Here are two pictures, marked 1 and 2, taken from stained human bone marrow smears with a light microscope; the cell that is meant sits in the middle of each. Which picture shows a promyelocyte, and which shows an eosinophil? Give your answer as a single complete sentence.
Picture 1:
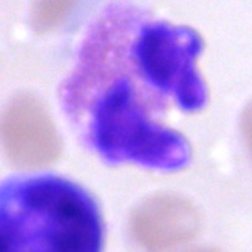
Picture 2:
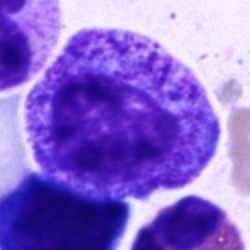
Picture 2 shows a promyelocyte, while picture 1 shows an eosinophil.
